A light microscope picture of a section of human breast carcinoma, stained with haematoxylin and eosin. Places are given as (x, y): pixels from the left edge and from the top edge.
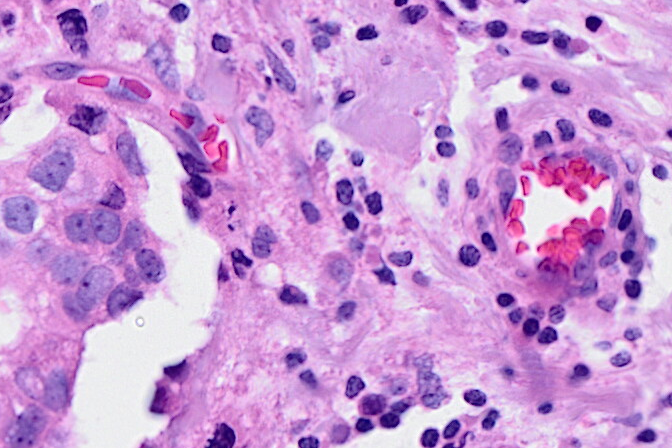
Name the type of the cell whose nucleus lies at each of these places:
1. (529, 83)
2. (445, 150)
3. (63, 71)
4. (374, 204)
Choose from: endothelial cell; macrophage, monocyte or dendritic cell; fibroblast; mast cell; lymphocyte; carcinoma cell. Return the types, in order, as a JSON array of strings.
["lymphocyte", "lymphocyte", "endothelial cell", "lymphocyte"]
